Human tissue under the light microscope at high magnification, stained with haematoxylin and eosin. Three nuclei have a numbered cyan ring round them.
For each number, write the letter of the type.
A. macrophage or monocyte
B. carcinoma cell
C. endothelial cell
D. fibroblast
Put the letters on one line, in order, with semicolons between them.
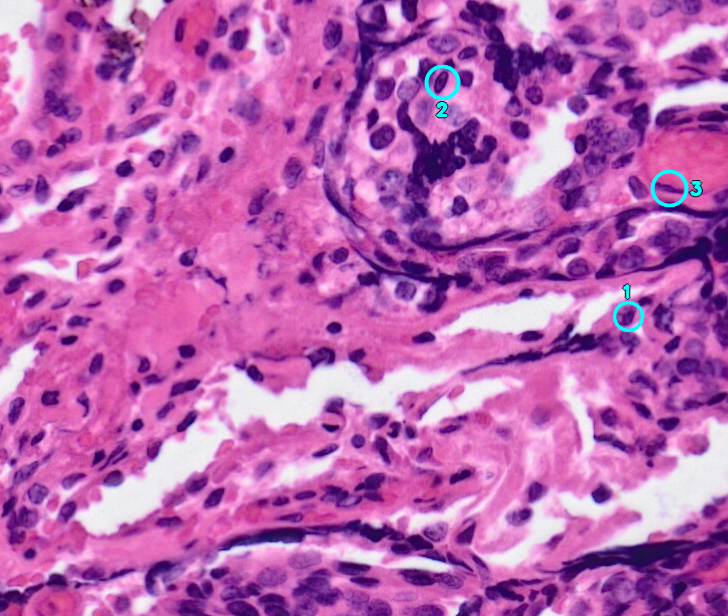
A; A; C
